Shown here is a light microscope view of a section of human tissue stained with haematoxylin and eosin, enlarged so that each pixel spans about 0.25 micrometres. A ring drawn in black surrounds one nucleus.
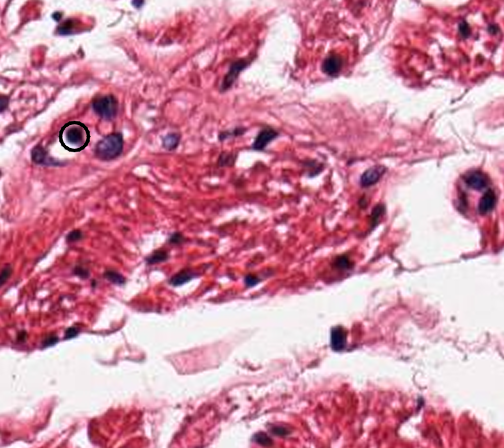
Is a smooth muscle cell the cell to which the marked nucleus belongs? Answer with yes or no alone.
no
